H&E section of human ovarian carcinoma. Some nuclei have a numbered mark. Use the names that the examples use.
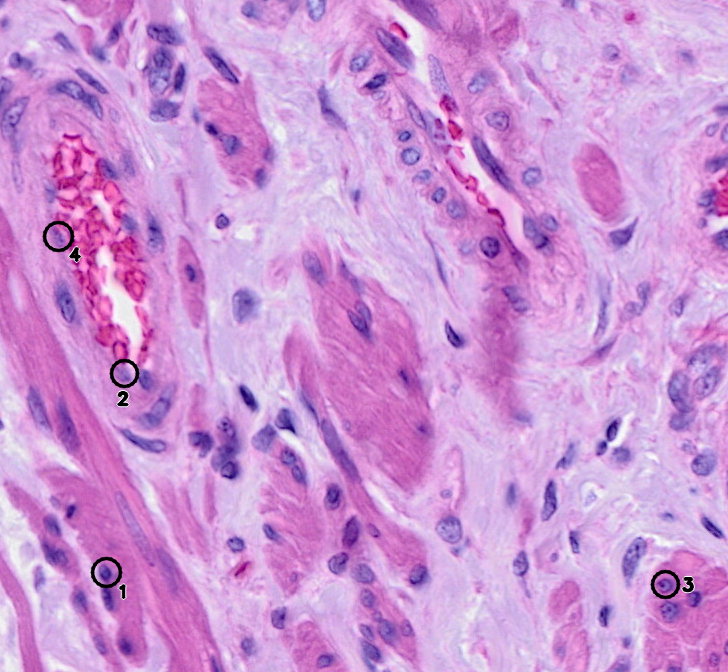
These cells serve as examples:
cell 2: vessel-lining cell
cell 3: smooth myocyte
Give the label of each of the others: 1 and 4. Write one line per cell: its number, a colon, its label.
1: smooth myocyte
4: vessel-lining cell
